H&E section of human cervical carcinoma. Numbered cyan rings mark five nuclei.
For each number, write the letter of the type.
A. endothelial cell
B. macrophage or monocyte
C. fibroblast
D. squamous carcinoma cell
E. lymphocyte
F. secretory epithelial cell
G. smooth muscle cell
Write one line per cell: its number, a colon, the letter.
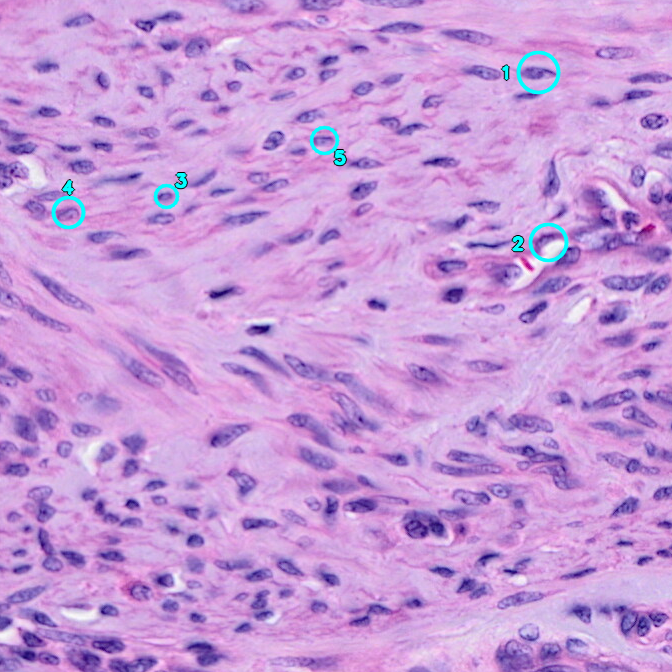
1: C
2: A
3: G
4: G
5: G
